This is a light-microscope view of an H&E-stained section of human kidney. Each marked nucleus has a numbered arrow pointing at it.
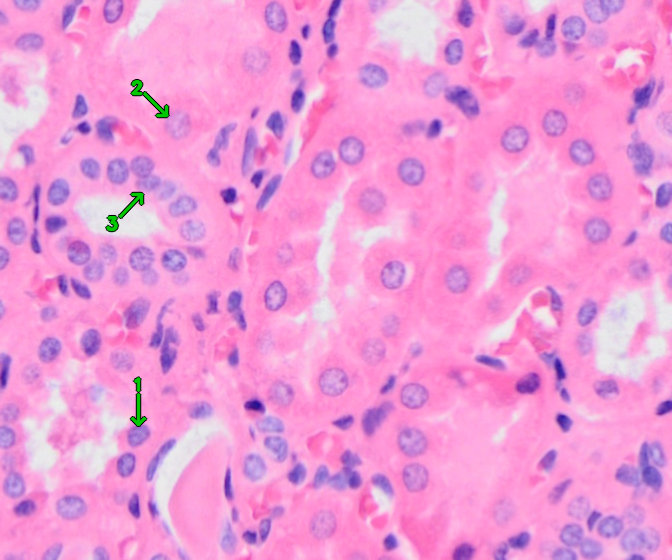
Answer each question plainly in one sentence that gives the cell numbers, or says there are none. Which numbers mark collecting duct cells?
Among the cells marked with numbers, the only one that is a collecting duct cell is number 3.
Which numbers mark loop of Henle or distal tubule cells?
Among the cells marked with numbers, the only one that is a loop of Henle or distal tubule cell is number 1.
